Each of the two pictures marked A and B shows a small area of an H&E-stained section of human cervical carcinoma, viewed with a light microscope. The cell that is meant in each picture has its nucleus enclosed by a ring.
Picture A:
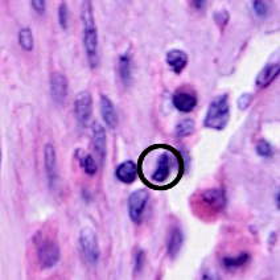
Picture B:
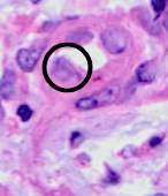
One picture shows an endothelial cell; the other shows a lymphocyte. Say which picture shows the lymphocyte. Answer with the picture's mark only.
A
